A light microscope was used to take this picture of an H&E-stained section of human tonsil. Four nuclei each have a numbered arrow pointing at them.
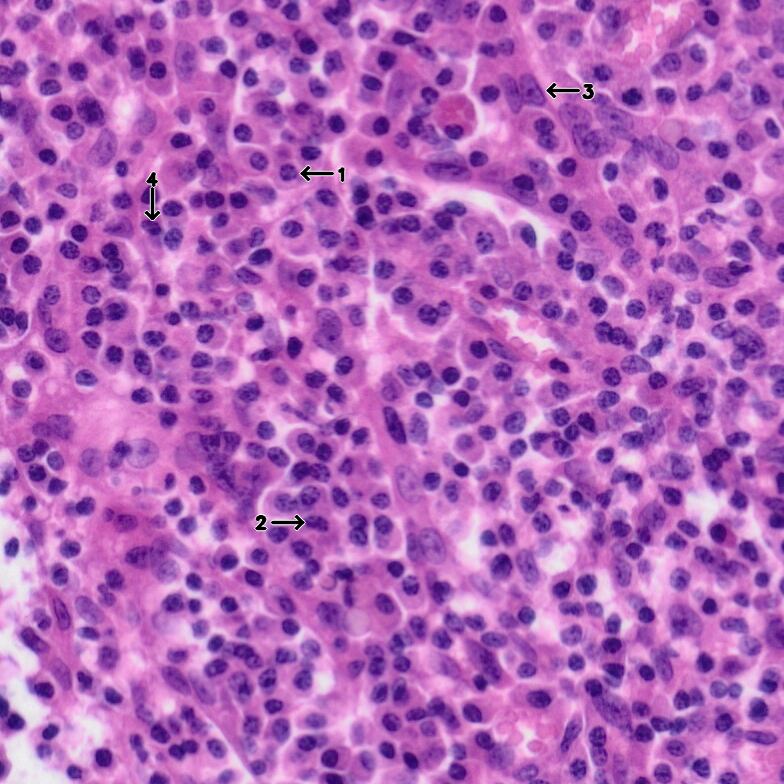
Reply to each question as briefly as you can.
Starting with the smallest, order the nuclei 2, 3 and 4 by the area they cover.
2, 4, 3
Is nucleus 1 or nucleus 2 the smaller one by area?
2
